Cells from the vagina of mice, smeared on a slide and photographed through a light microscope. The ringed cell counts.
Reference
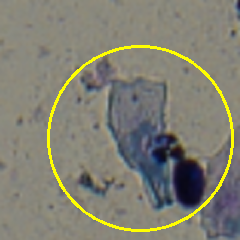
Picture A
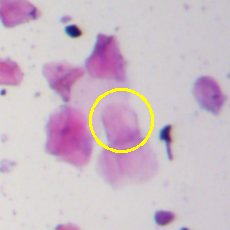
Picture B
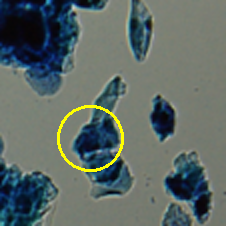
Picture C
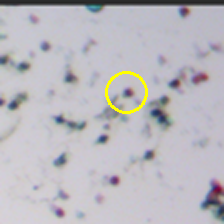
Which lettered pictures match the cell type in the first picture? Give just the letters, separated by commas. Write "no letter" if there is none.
A, B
